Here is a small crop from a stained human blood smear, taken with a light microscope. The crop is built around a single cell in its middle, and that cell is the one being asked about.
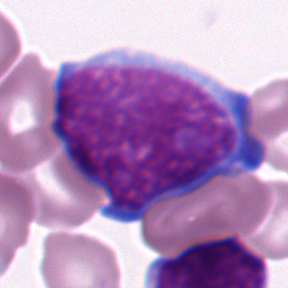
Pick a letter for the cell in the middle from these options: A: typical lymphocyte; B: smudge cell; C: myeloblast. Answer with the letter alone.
C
